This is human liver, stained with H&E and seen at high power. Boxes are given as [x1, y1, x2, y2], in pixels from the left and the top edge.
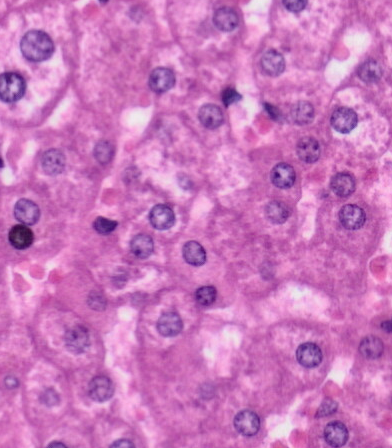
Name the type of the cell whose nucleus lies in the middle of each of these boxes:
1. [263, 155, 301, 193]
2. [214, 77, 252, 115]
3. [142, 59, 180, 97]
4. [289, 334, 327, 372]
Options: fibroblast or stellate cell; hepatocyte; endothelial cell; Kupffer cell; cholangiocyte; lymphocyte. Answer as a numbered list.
1. hepatocyte
2. endothelial cell
3. hepatocyte
4. hepatocyte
